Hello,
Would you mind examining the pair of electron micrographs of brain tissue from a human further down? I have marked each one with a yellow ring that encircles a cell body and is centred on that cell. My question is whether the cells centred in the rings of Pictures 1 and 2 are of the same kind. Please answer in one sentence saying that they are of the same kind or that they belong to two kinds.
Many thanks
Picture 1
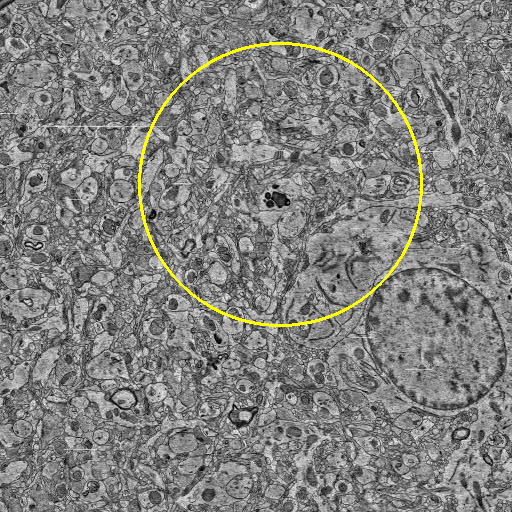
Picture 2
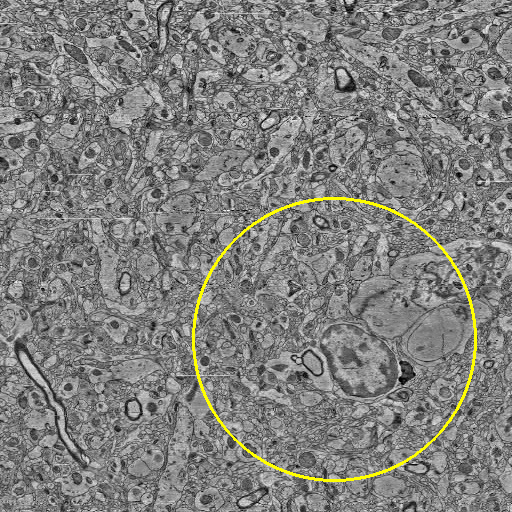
In Pictures 1 and 2, the cells at the heart of the rings are of the same kind.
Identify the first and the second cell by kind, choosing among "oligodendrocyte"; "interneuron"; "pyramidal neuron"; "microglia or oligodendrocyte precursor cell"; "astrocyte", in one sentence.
Both pictures show a microglial cell or oligodendrocyte precursor cell at the centre of the ring.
